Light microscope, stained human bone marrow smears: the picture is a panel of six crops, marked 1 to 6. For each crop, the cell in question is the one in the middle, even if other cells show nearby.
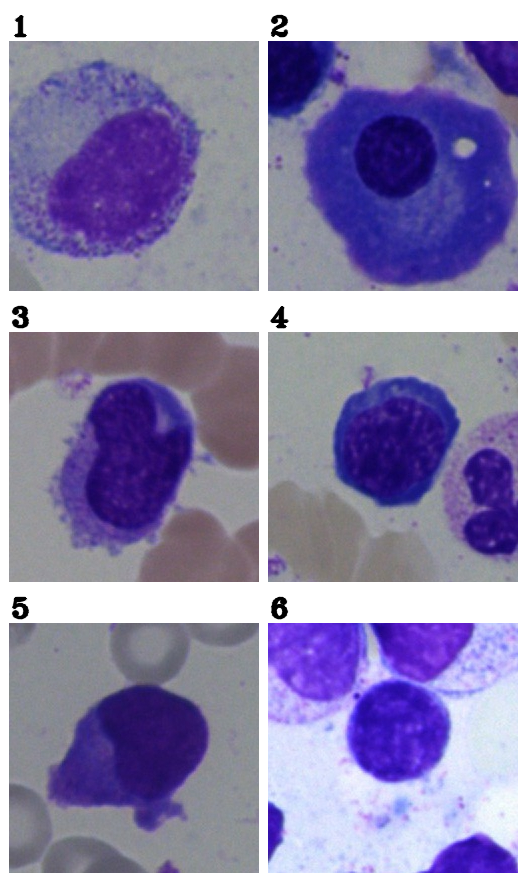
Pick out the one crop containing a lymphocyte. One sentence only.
On review of the set, crop 6 is the one showing a lymphocyte.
